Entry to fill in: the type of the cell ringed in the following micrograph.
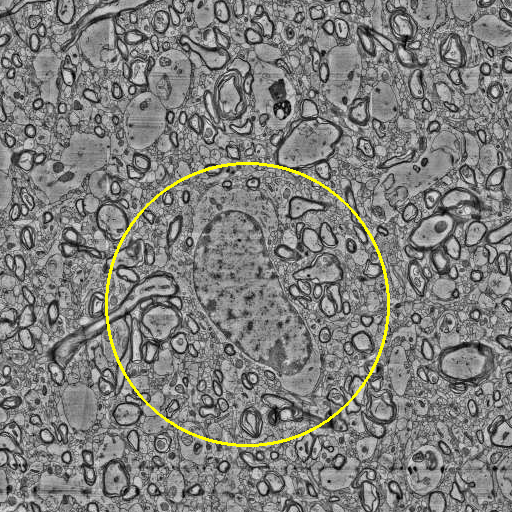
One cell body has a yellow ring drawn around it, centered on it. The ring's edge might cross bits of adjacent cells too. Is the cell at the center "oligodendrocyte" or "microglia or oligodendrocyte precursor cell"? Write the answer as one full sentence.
This entry names a microglial cell or oligodendrocyte precursor cell as the cell whose body lies at the ring's center.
